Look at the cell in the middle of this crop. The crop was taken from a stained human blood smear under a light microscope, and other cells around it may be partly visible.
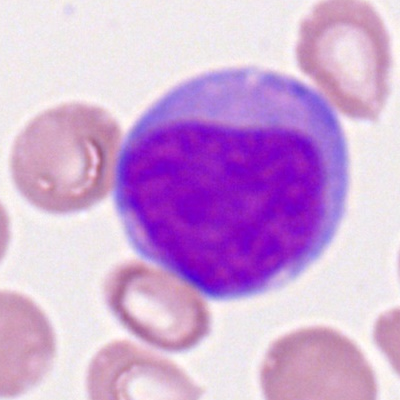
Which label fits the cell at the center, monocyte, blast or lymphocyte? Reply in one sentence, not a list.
By type, the central cell of the crop is a blast.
